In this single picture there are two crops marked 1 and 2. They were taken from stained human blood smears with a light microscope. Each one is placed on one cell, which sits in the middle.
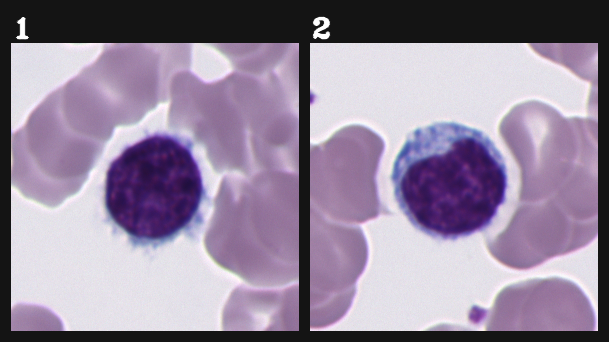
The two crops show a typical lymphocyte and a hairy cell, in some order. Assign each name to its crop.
1: hairy cell
2: typical lymphocyte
